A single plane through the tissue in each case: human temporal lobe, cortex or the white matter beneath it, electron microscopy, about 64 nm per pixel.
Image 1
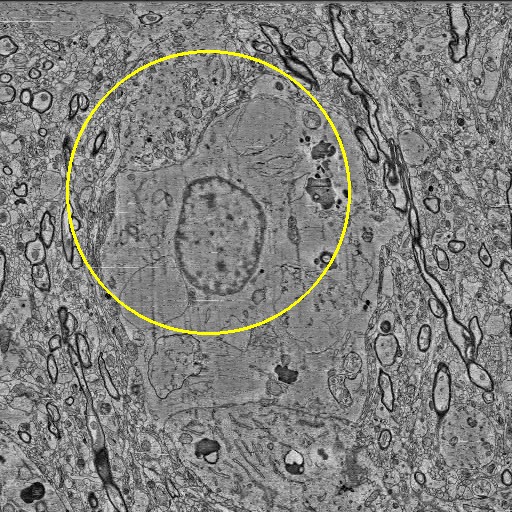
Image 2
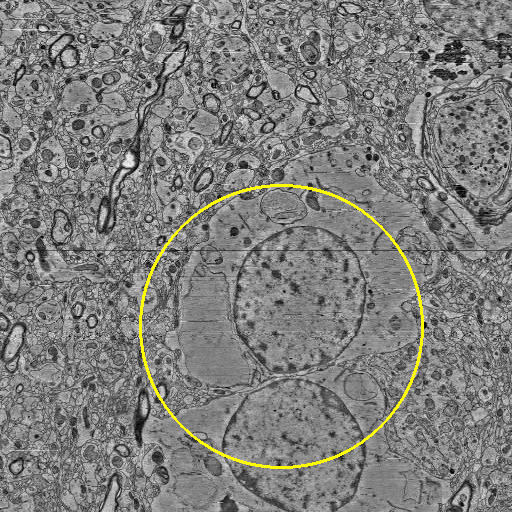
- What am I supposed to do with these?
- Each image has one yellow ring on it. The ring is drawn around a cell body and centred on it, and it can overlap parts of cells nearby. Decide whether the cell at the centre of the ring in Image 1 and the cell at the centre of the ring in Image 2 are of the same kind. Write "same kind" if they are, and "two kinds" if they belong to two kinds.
same kind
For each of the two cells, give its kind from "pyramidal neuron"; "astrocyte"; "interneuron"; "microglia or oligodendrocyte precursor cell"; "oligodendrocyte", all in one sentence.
Both the first and the second picture show an astrocyte in the ring.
